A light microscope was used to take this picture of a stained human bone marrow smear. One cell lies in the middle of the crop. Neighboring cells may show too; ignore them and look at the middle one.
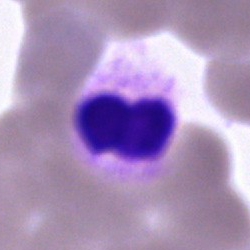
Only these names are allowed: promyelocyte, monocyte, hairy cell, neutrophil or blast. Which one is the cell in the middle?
neutrophil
